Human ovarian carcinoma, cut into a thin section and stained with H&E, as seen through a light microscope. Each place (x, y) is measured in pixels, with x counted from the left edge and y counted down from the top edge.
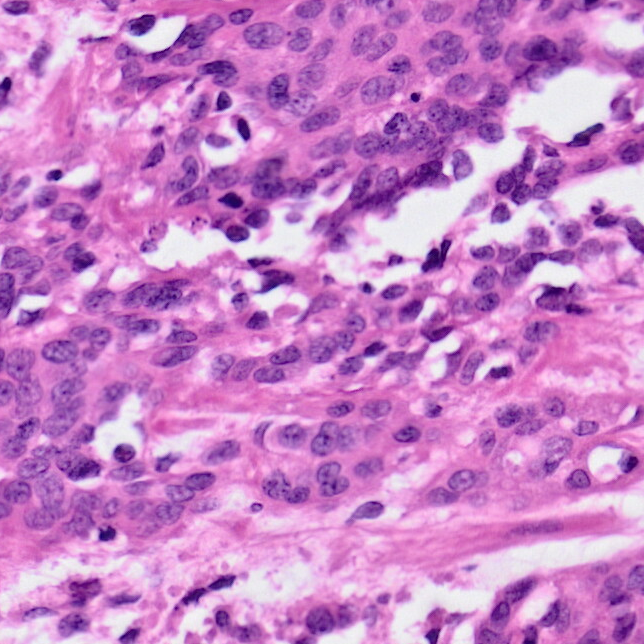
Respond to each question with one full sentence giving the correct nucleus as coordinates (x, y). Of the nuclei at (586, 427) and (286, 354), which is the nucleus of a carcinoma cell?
Of these two nuclei, it is the one at (286, 354) that belongs to a carcinoma cell.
